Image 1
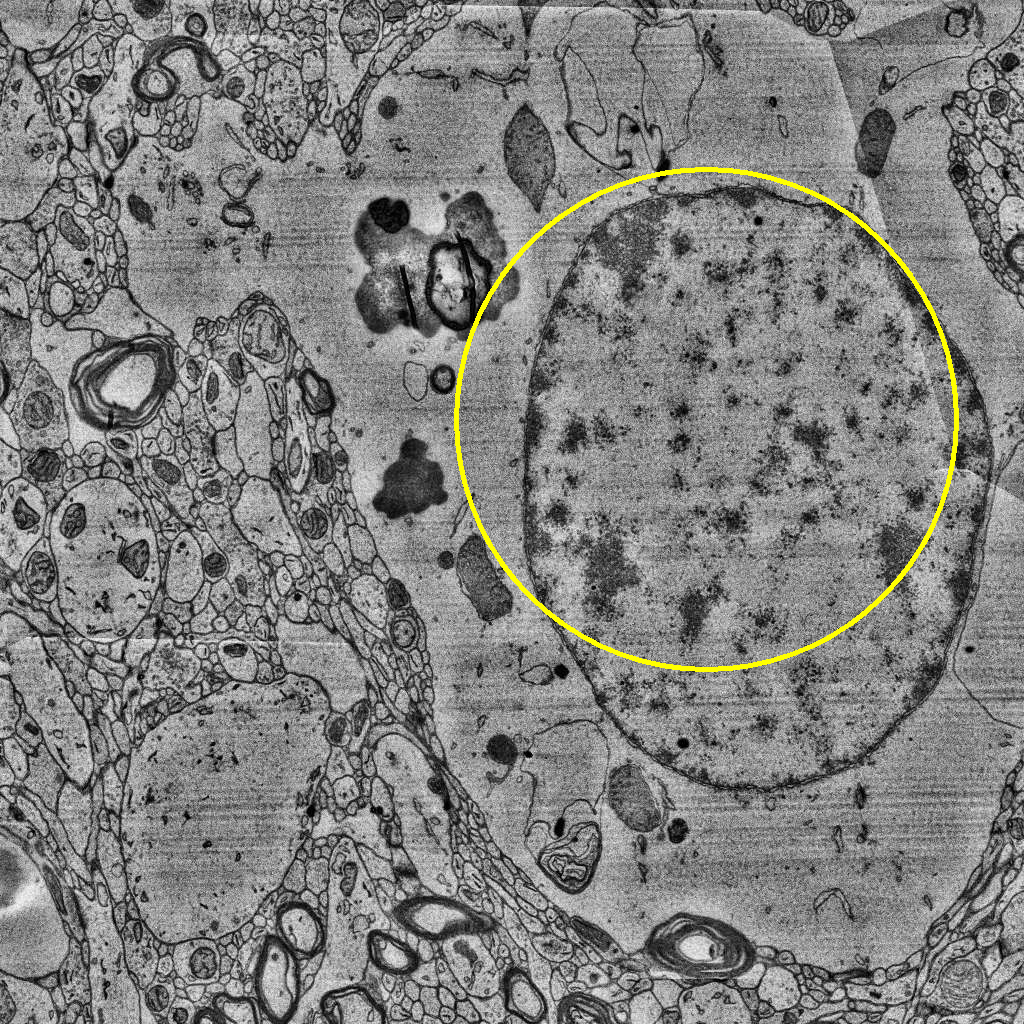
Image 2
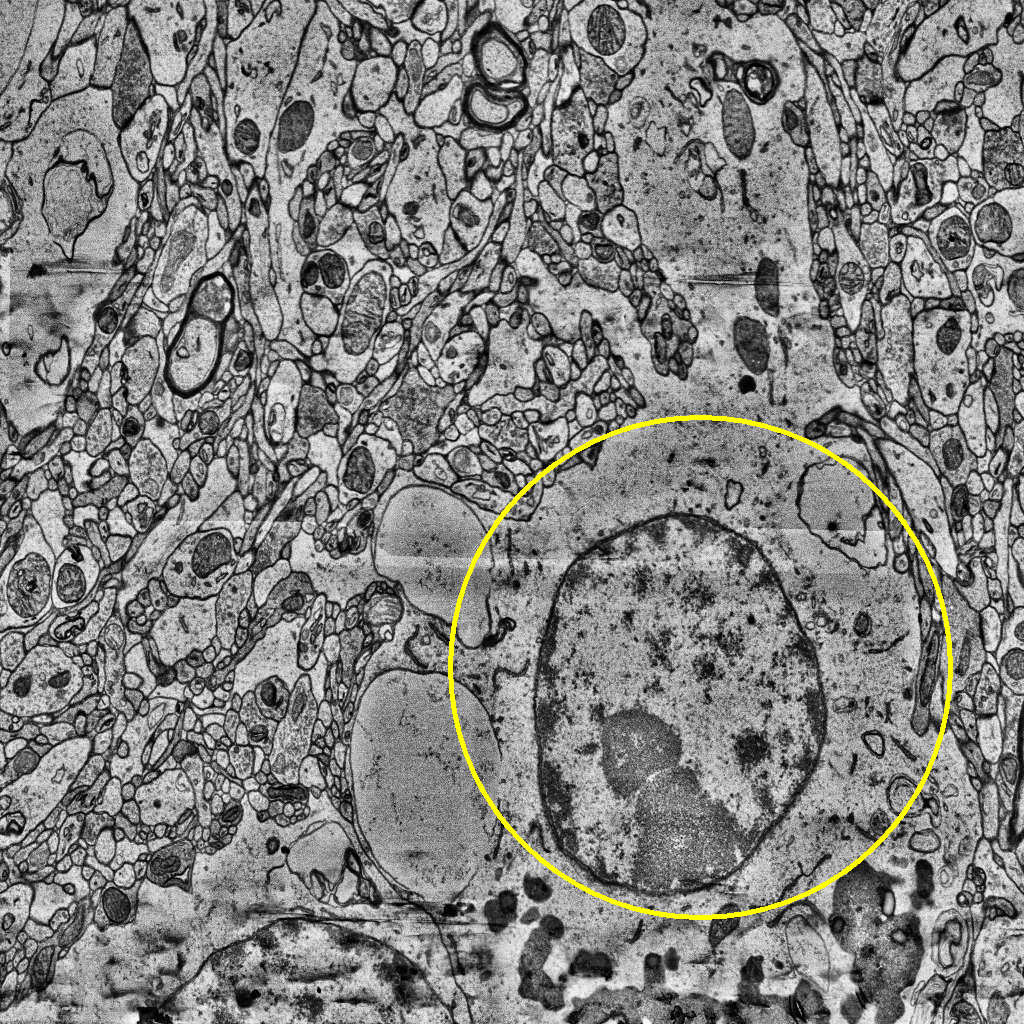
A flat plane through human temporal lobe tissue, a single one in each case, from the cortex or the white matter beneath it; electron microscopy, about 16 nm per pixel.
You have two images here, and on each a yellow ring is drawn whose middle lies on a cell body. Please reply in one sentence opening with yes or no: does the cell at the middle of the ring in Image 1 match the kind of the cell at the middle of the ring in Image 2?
Yes, the two images show cells of one kind at the centres of their rings.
